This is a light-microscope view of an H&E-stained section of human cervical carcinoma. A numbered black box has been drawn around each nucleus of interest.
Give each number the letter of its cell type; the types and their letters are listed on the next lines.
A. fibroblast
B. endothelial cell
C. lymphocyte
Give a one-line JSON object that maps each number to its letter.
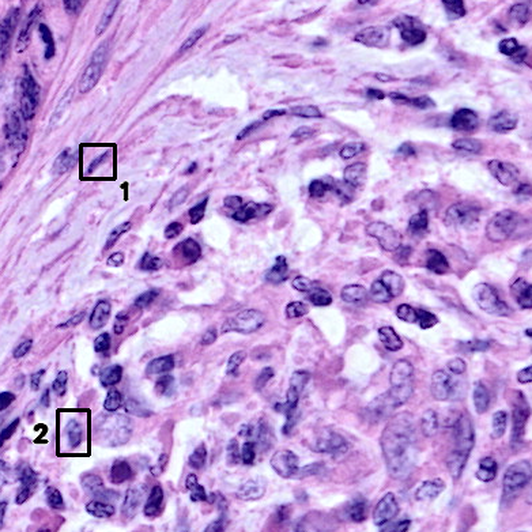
{"1": "A", "2": "C"}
